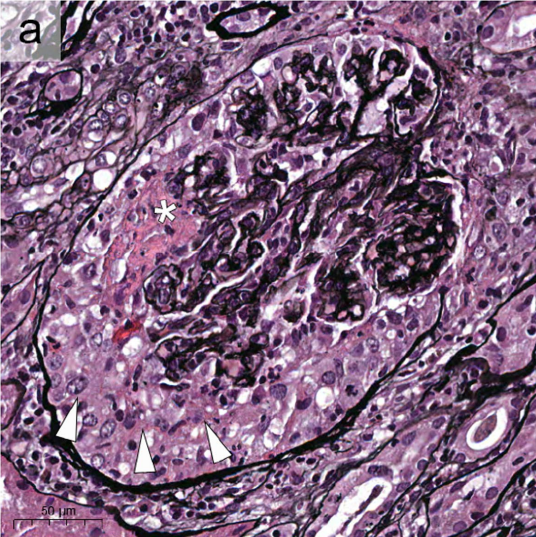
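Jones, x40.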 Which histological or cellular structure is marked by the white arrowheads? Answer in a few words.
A: Crescents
